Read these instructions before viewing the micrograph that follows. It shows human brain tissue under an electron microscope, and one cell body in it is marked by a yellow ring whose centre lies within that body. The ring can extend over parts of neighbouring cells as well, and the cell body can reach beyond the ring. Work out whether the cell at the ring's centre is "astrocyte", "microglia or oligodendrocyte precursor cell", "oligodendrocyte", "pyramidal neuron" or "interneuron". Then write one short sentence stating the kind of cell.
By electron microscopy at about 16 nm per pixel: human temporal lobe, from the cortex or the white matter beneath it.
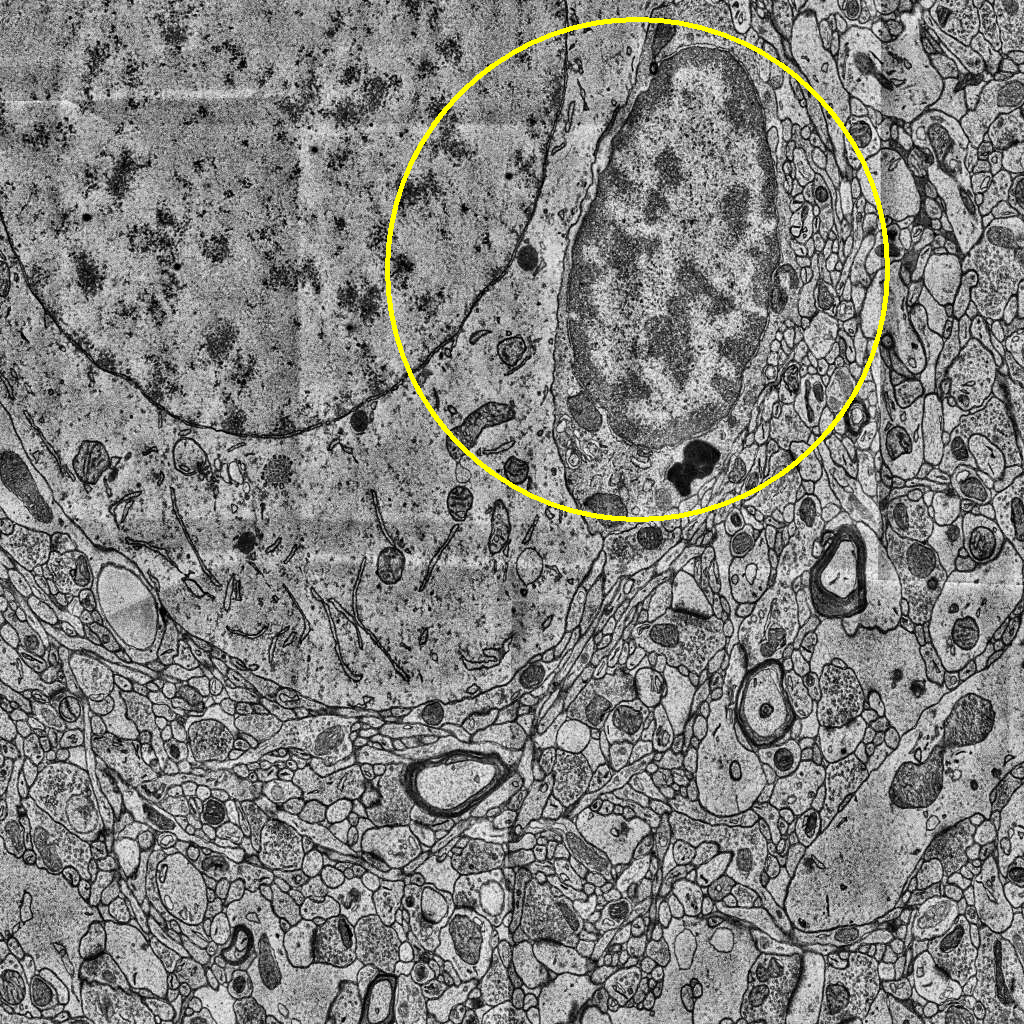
The cell at the ring's centre is an oligodendrocyte.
